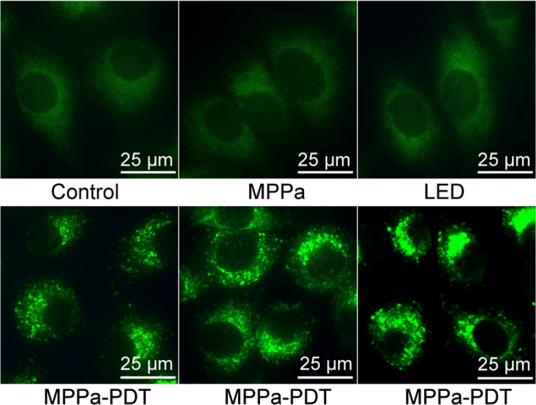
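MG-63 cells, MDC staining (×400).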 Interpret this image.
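These are cultured cells with green cytoplasm around dark, unstained oval nuclei. In the upper row, the green is faint and evenly spread. In the lower row, many bright green dots crowd the cytoplasm around the nucleus.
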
